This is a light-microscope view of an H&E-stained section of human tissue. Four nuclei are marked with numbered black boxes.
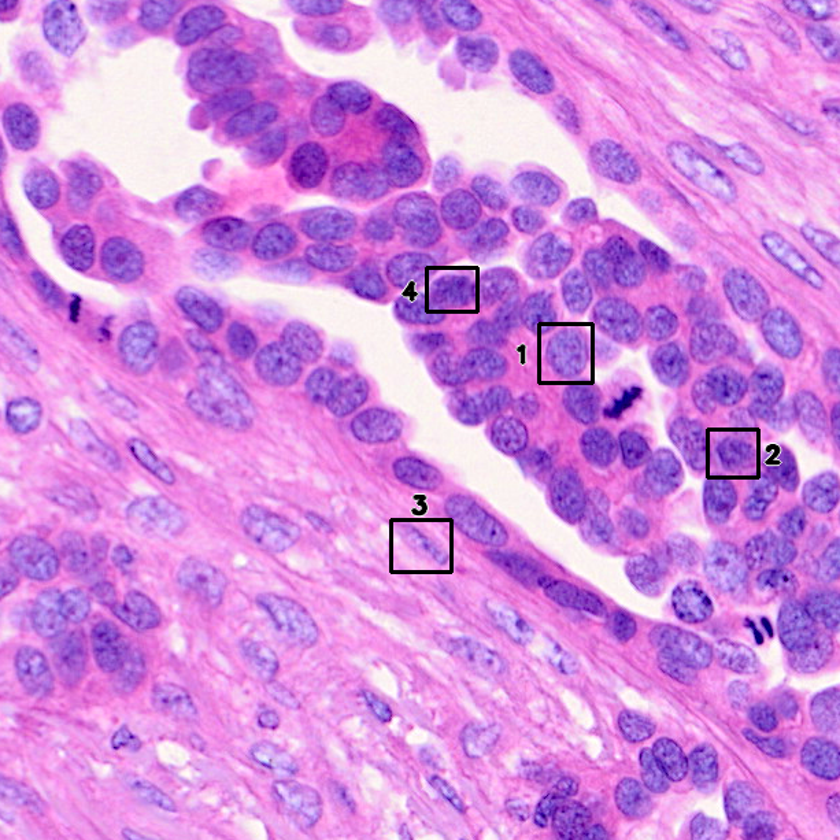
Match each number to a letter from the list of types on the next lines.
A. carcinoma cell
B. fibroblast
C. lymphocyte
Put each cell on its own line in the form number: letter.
1: A
2: A
3: B
4: A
